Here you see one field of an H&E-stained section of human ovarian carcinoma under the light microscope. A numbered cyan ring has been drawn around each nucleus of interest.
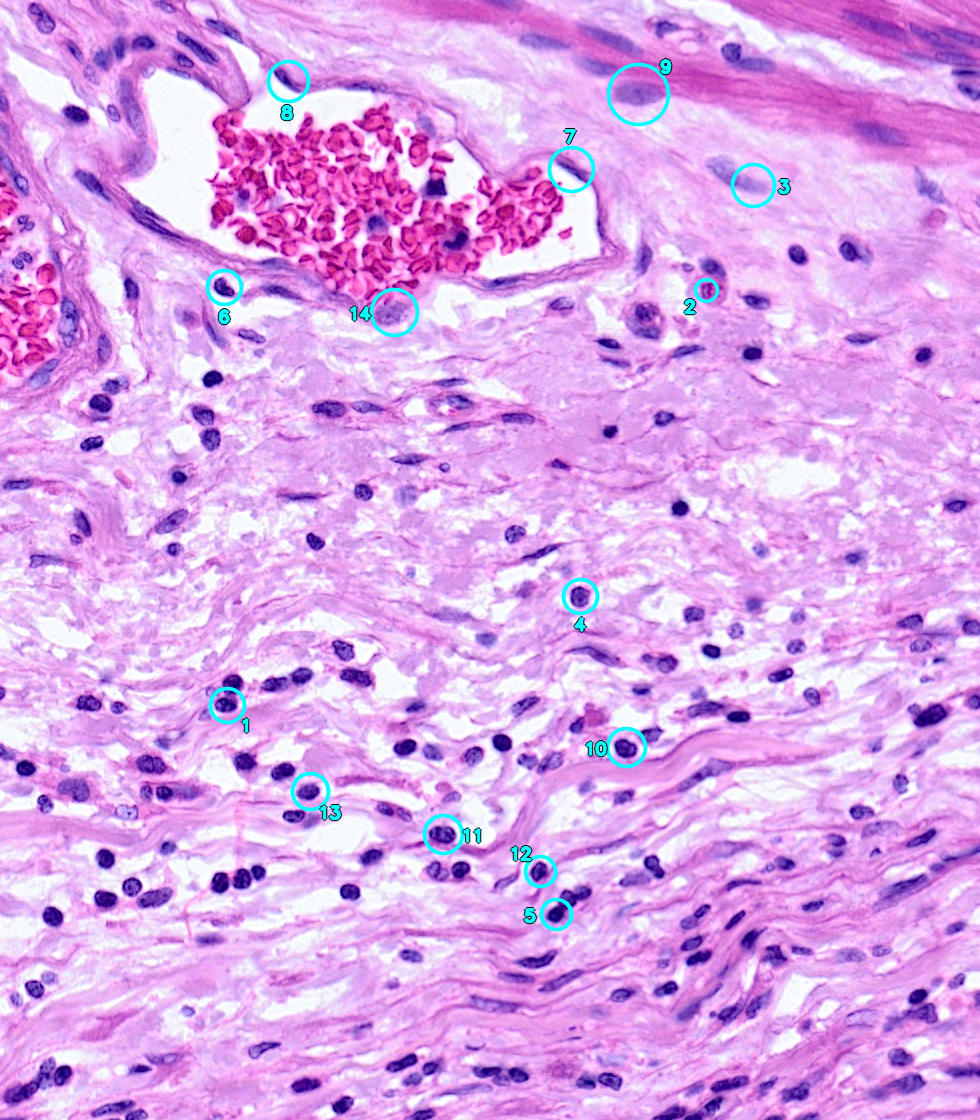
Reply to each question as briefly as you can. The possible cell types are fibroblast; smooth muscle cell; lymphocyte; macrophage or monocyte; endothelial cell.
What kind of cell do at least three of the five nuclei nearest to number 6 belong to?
macrophage or monocyte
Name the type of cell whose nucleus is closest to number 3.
fibroblast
